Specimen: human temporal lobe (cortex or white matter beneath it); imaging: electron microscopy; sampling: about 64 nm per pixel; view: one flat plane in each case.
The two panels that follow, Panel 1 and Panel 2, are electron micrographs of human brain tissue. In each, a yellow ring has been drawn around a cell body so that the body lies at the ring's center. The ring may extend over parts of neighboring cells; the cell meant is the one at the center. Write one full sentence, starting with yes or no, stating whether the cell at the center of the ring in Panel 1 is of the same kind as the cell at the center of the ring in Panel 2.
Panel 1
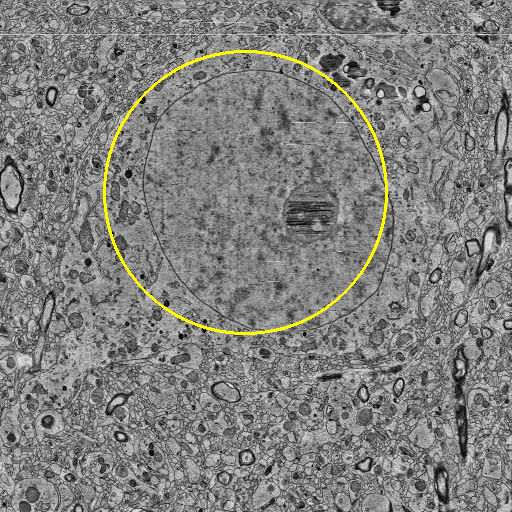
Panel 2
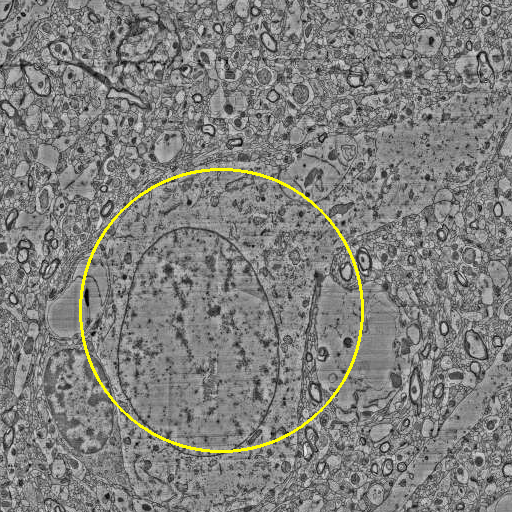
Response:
Yes, the cells in both panels are of the same kind.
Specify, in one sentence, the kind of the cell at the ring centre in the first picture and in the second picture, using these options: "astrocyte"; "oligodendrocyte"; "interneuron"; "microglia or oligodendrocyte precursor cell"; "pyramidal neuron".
The cell in the first picture is a pyramidal neuron, and so is the one in the second.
